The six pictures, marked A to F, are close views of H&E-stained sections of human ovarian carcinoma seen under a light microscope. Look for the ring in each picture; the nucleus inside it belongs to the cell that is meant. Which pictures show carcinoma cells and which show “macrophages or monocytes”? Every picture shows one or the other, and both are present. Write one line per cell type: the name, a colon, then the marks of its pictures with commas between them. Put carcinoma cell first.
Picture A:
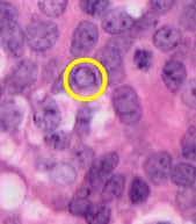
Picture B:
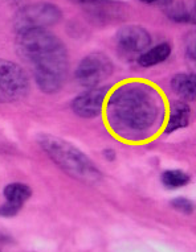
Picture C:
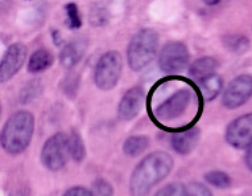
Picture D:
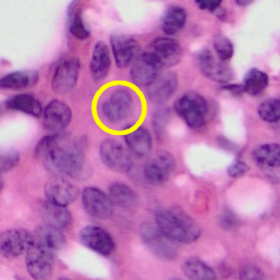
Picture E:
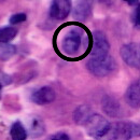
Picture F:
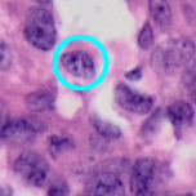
carcinoma cell: A, B, C, D
macrophage or monocyte: E, F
